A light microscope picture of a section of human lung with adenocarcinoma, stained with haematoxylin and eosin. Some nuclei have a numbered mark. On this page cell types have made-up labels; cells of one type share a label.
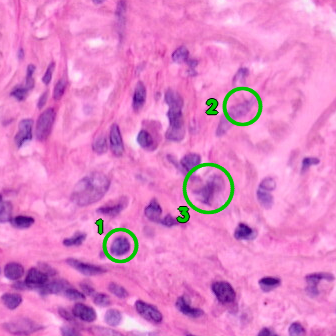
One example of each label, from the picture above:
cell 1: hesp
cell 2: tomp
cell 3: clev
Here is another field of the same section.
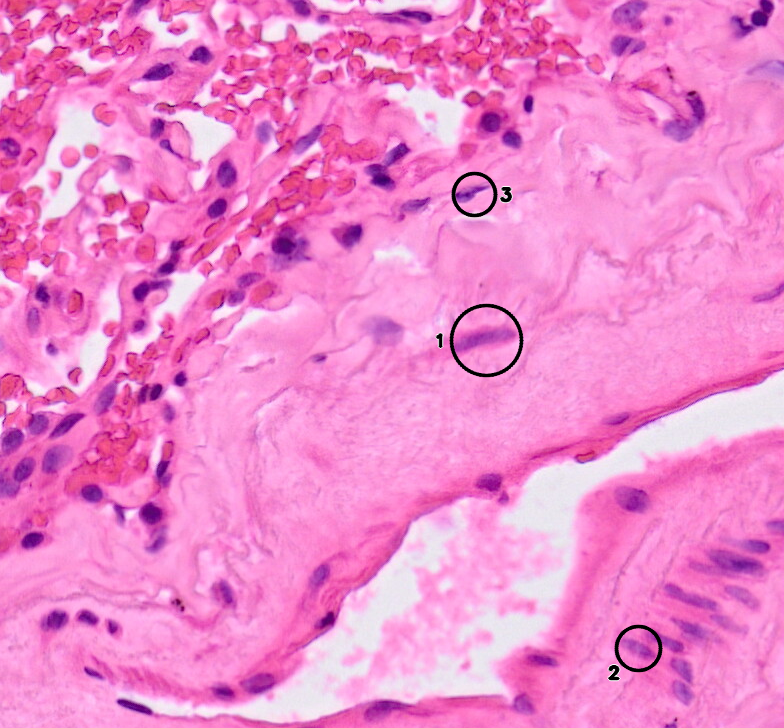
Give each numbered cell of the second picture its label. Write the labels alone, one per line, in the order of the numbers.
tomp
tomp
clev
